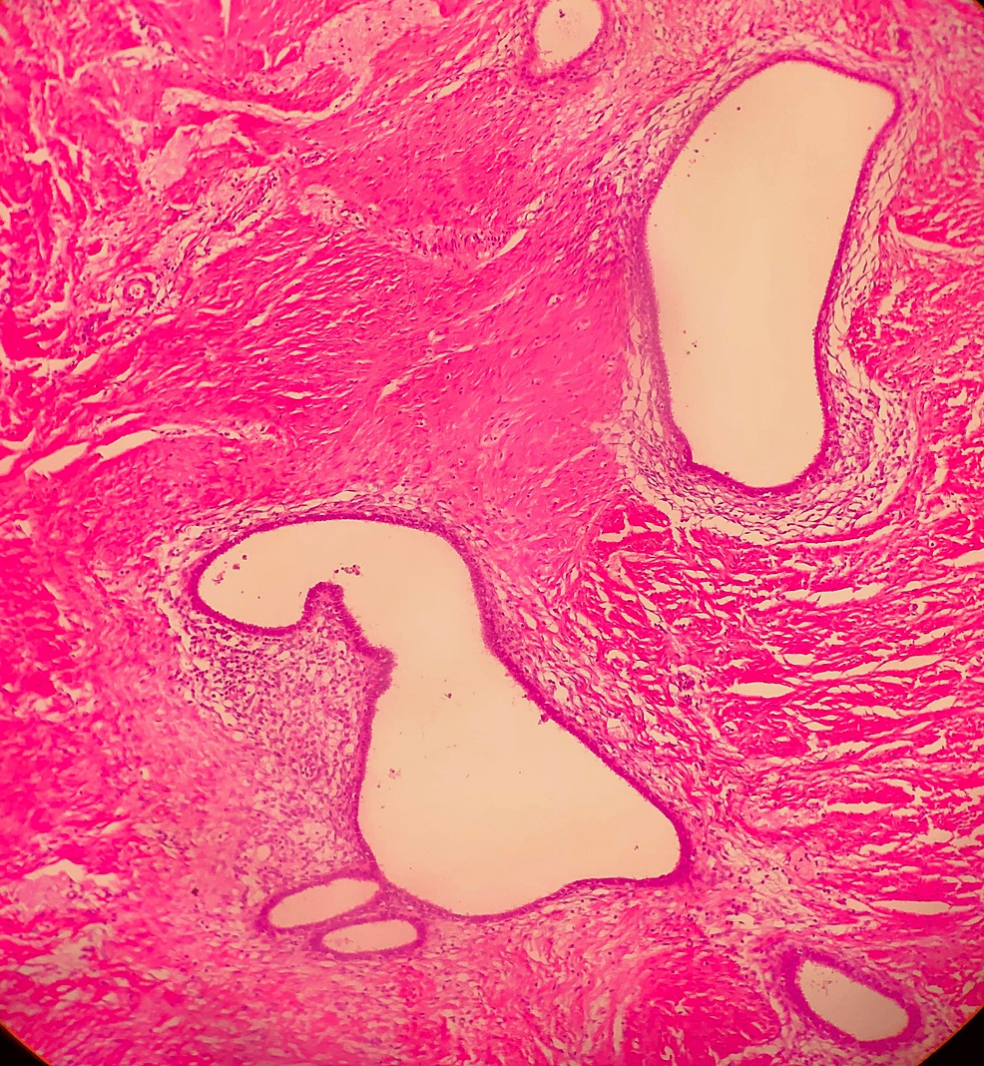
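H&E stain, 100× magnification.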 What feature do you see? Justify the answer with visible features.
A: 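Endometrial gland structures. Several dilated, irregular glandular spaces with empty lumens. Each space is lined by a single thin layer of epithelial cells with dark nuclei.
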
